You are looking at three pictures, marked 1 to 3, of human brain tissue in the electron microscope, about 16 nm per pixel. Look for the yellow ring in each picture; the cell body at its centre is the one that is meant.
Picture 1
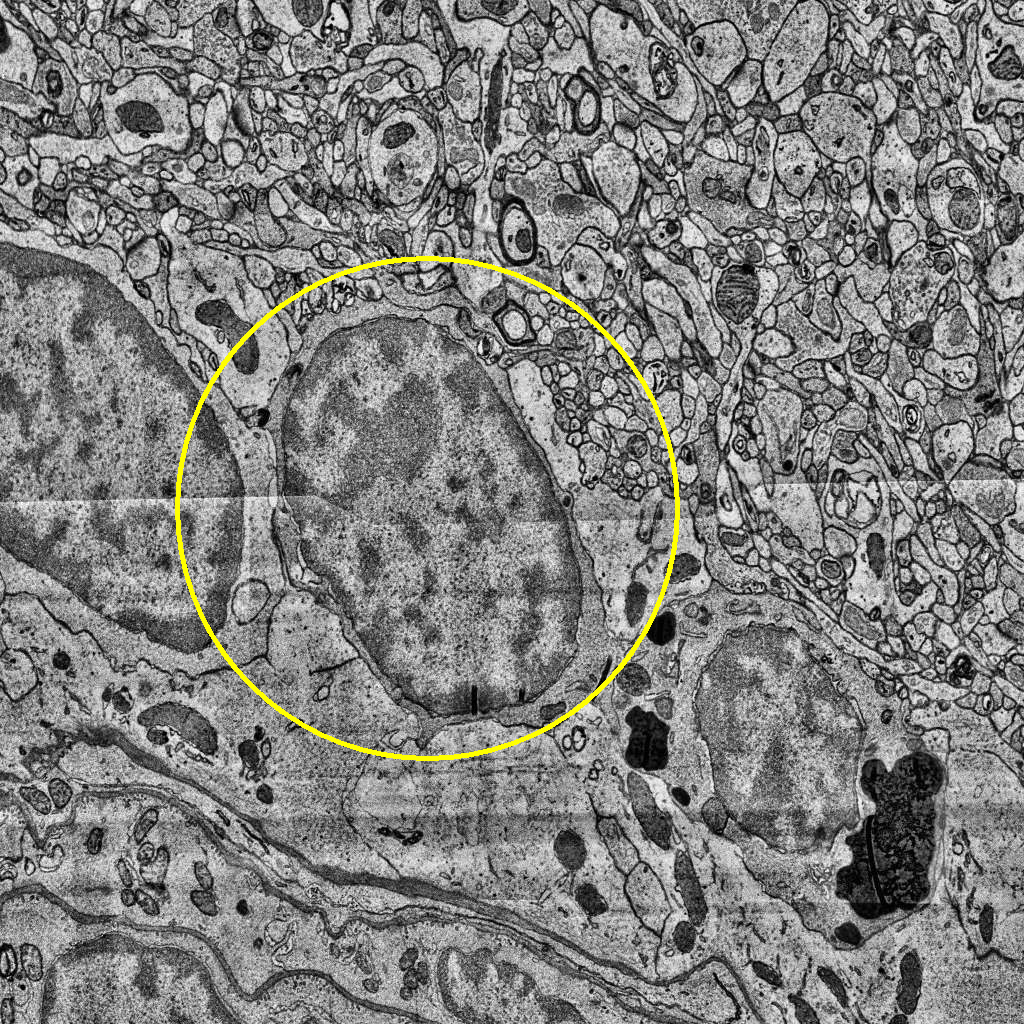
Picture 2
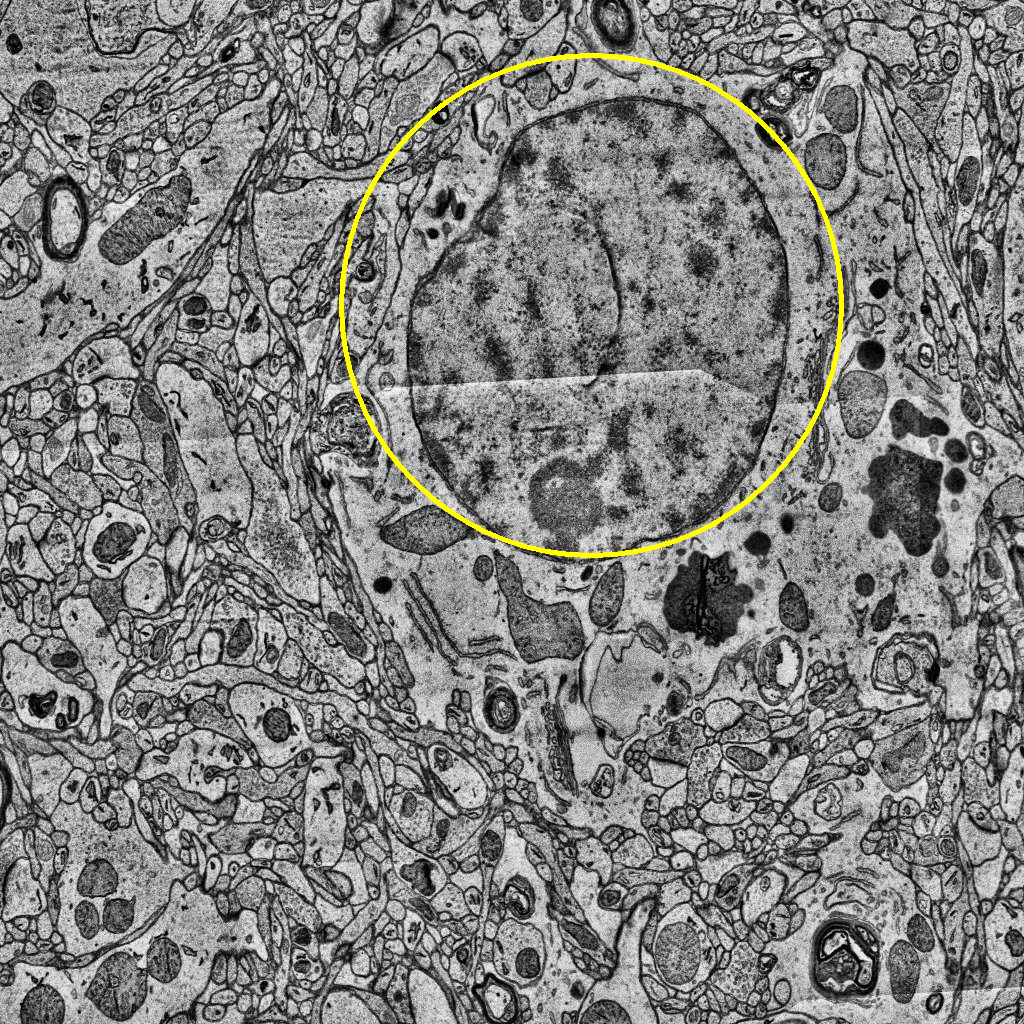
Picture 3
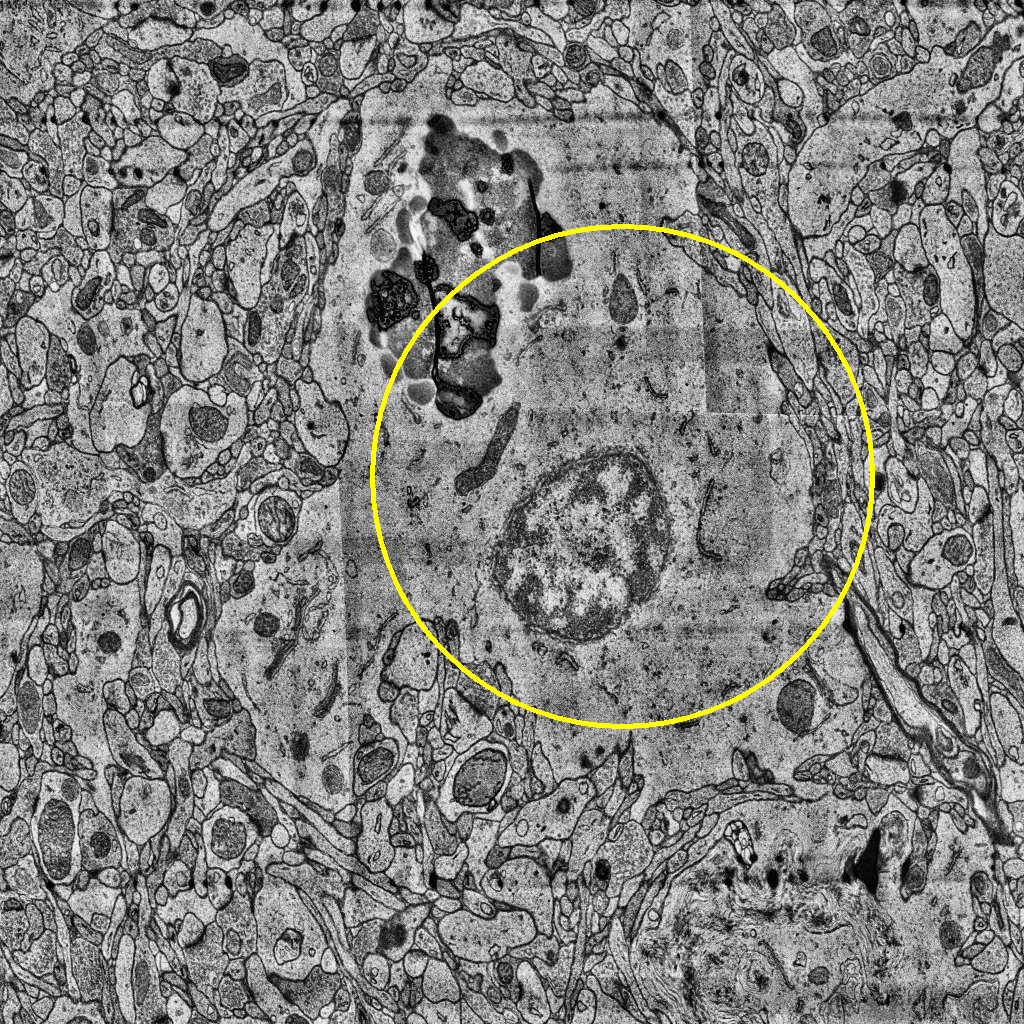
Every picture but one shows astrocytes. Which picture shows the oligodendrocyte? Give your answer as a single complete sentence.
The picture with the oligodendrocyte is 1.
